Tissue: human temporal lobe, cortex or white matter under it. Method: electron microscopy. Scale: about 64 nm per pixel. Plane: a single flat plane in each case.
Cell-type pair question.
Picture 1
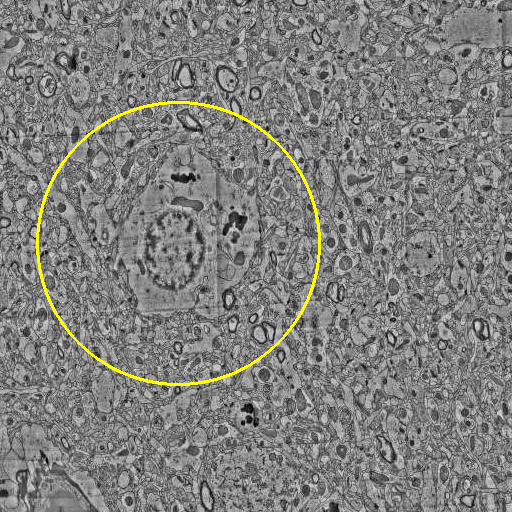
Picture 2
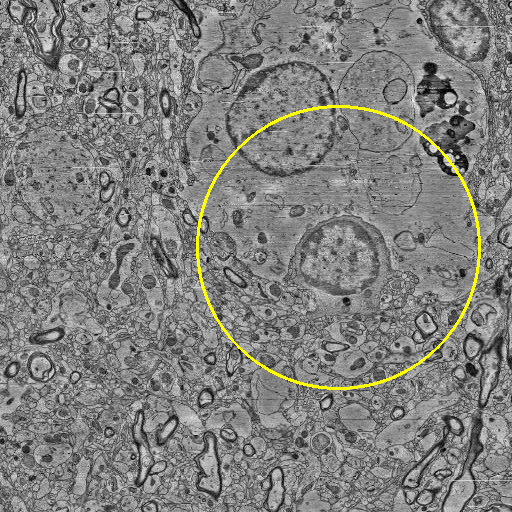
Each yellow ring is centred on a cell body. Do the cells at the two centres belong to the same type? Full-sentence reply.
No, the two cells belong to two types.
